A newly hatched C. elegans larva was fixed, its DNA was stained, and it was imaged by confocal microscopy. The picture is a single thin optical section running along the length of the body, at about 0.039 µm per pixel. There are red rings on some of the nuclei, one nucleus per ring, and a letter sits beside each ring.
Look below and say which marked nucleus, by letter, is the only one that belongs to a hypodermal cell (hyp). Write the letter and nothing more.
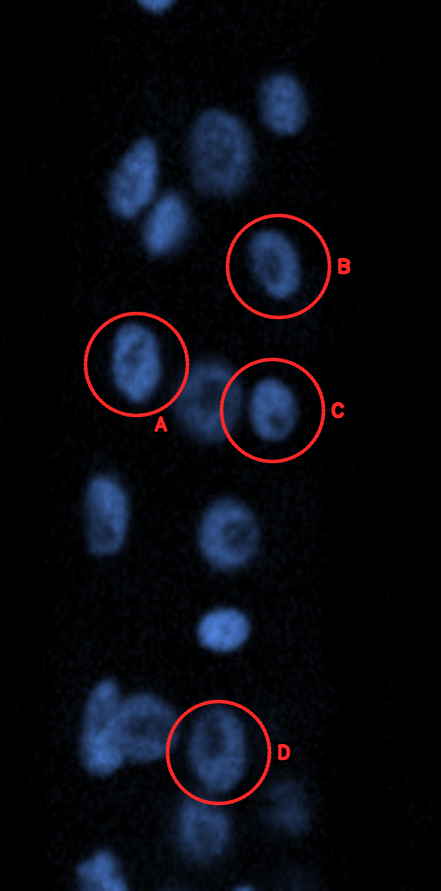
D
